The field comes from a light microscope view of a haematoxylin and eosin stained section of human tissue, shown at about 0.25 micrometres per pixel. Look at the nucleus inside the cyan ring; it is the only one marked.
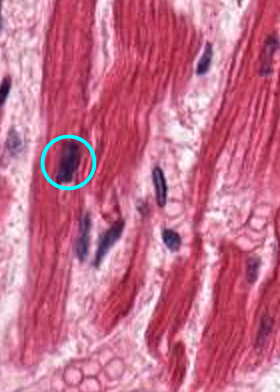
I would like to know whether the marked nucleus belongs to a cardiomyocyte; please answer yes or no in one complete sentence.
Yes, in this image it is a cardiomyocyte that contains the marked nucleus.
